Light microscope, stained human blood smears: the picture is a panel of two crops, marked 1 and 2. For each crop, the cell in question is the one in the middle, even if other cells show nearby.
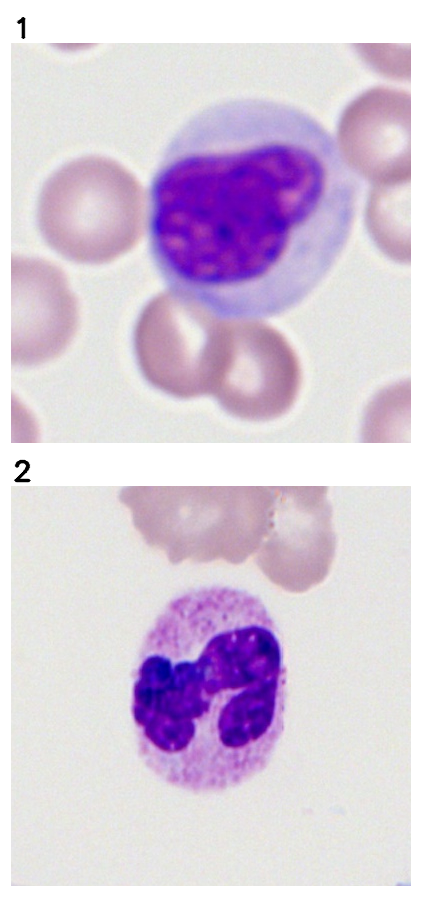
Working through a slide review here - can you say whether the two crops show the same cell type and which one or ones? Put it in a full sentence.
No, the middle of crop 1 shows a monocyte, and the middle of crop 2 shows a segmented neutrophil.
